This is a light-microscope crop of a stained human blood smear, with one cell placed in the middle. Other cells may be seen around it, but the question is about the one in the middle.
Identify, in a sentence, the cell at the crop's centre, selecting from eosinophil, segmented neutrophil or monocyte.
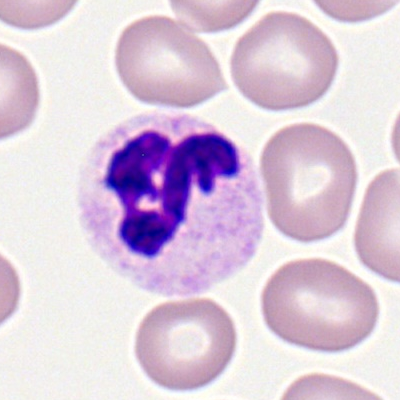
Looking at the middle of the crop, the cell there is a segmented neutrophil.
